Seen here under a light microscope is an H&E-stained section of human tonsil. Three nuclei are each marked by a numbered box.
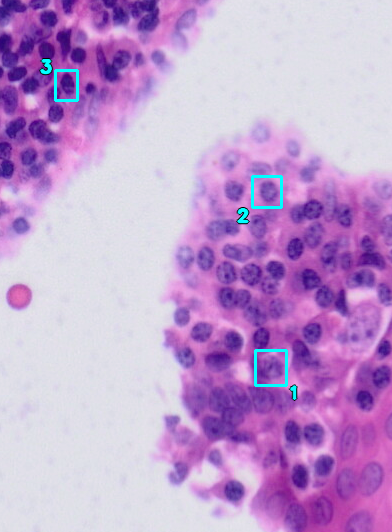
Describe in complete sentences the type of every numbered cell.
Cell 1 is a squamous epithelial cell, cell 2 is a plasma cell and cell 3 is a plasma cell.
